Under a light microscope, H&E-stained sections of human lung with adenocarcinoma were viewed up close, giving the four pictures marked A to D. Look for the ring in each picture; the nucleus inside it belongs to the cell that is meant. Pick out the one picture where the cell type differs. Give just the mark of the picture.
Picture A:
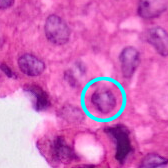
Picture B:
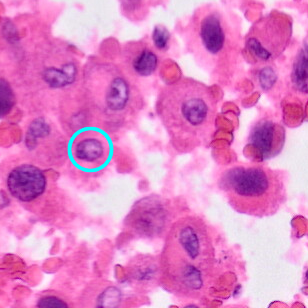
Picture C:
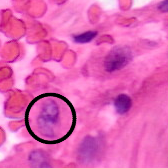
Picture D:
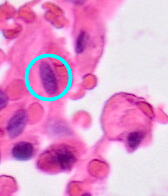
D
